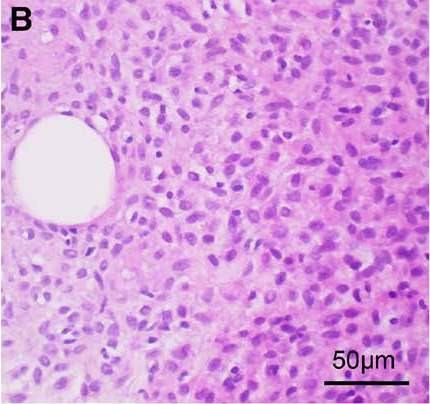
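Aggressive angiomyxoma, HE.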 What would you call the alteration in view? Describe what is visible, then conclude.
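Hypercellular. Nuclei are crowded and closely packed across the field. Little stroma lies between the cells.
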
